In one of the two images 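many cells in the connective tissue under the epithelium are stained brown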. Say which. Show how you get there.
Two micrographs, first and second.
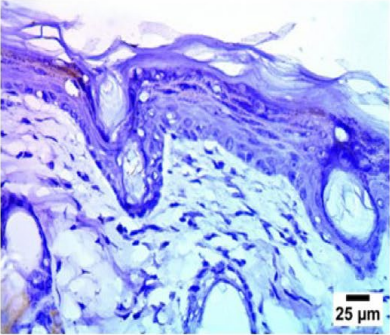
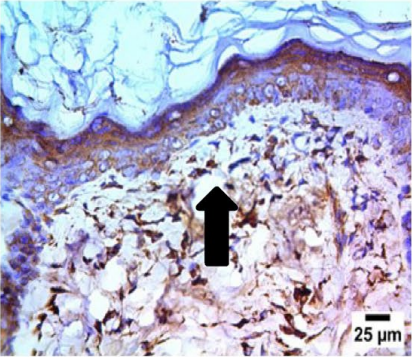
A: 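The second image. Second image: numerous dark brown spindle and stellate cells fill the tissue beneath the epidermis. First image: the tissue beneath the epidermis shows only blue nuclei and no brown-stained cells.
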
